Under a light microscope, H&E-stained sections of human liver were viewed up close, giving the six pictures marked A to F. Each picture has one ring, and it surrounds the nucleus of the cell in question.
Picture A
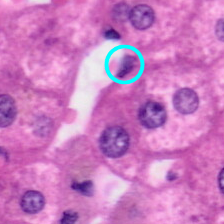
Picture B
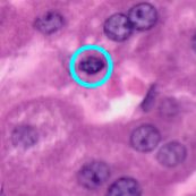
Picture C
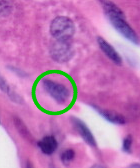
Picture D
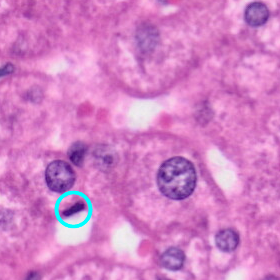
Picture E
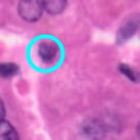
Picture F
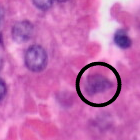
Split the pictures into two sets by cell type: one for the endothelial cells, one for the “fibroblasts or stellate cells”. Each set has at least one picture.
A: endothelial cell
B: fibroblast or stellate cell
C: fibroblast or stellate cell
D: endothelial cell
E: fibroblast or stellate cell
F: endothelial cell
